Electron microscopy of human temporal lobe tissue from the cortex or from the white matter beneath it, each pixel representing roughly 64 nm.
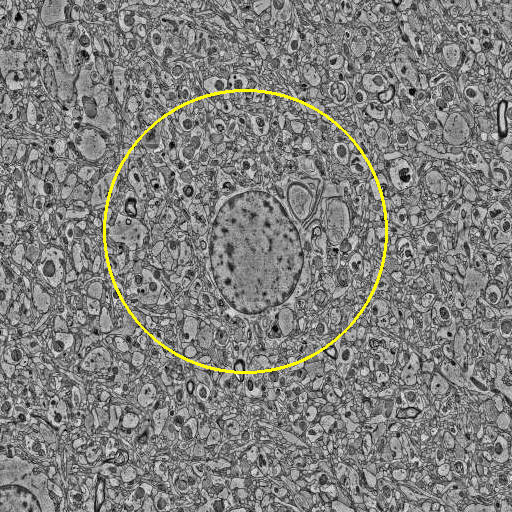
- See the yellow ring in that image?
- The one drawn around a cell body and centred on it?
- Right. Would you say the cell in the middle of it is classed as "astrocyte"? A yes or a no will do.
no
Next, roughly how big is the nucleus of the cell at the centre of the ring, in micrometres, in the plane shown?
About 8 by 6 micrometers for the nucleus, in this plane.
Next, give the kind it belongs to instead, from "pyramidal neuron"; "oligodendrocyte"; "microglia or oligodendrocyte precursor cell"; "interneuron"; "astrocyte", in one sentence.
This picture has a microglial cell or oligodendrocyte precursor cell at the centre of its ring.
